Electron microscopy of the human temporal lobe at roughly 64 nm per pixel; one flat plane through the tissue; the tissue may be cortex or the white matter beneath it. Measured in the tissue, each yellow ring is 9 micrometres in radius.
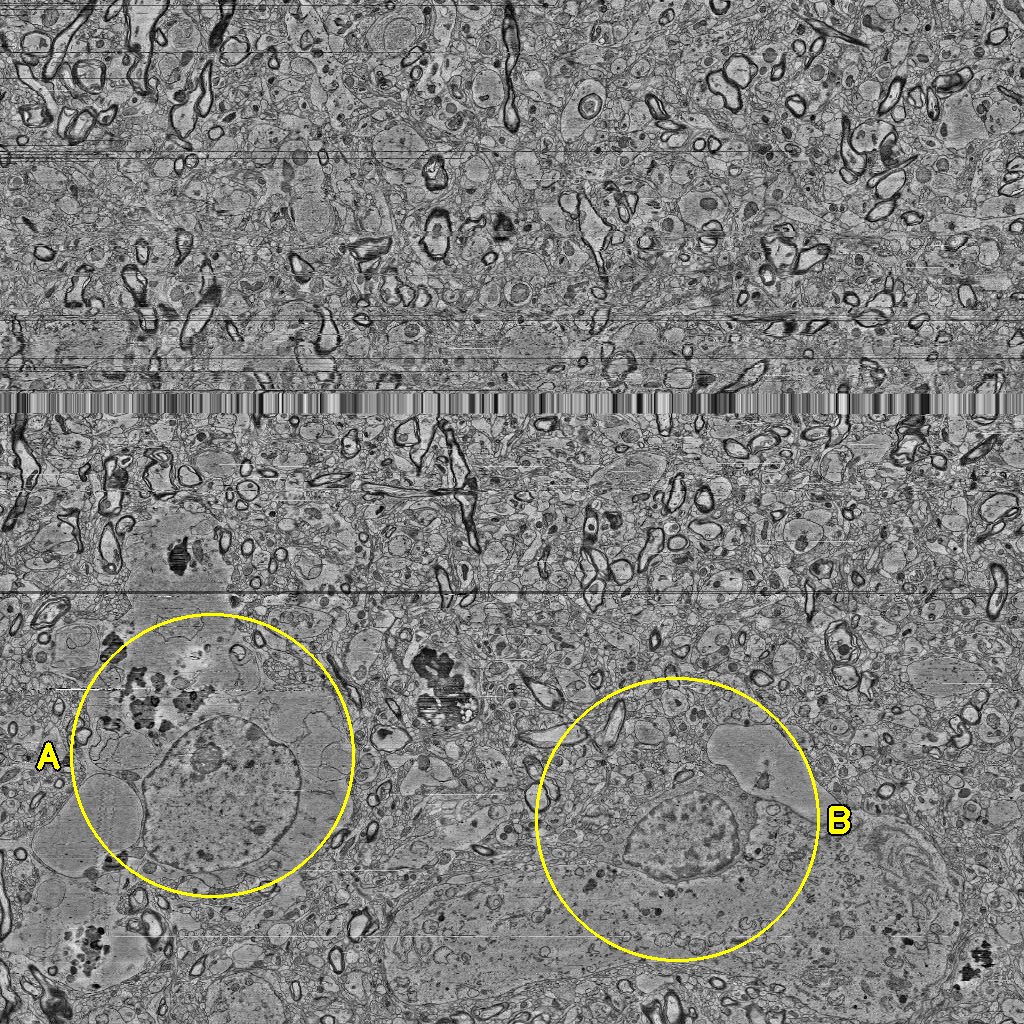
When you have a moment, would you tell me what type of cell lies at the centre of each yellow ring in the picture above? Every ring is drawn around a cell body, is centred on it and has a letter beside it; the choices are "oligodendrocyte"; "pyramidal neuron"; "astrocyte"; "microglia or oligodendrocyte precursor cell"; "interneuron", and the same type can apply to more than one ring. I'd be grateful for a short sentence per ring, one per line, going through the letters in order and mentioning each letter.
The cell at the centre of ring A is an astrocyte.
The cell at the centre of ring B is an oligodendrocyte.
